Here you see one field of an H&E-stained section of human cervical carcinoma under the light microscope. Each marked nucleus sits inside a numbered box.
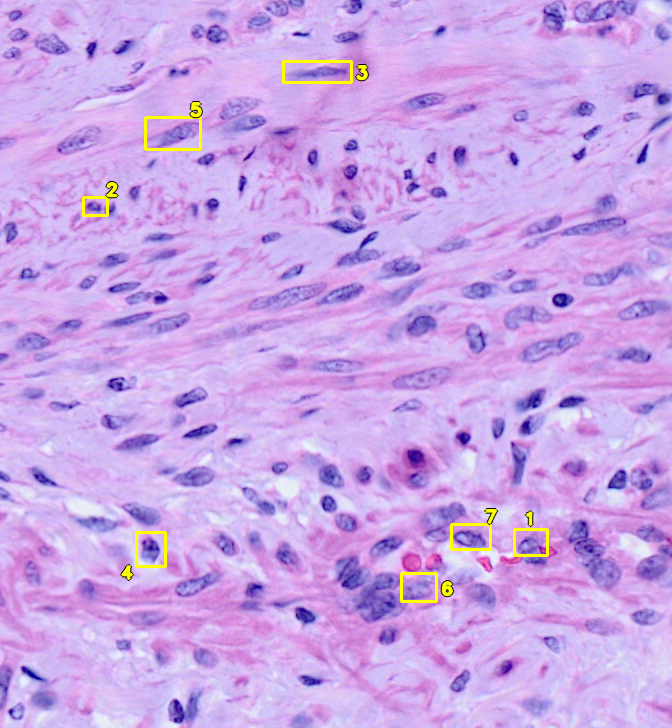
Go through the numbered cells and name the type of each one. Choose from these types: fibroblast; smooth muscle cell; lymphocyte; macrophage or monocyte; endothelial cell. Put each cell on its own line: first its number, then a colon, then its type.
1: endothelial cell
2: smooth muscle cell
3: fibroblast
4: lymphocyte
5: smooth muscle cell
6: endothelial cell
7: endothelial cell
